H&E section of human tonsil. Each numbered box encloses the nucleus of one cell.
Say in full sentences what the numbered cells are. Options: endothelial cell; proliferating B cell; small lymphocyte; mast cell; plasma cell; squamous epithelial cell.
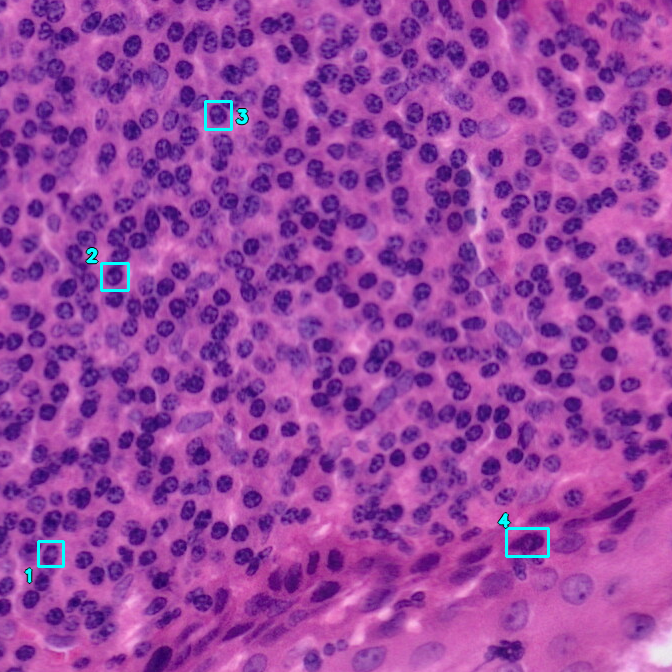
Cells 1, 2 and 3 are plasma cells. Cell 4 is a squamous epithelial cell.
